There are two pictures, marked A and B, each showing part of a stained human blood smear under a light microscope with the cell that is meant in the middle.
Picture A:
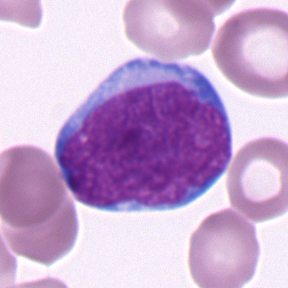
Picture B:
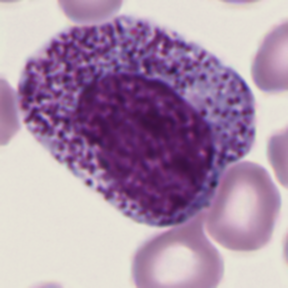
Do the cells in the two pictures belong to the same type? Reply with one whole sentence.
No, they differ: the cell is a myeloblast in picture A and a promyelocyte in picture B.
